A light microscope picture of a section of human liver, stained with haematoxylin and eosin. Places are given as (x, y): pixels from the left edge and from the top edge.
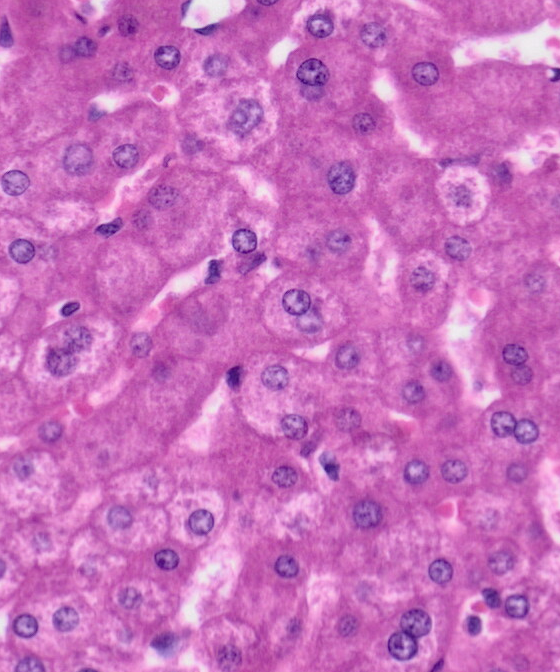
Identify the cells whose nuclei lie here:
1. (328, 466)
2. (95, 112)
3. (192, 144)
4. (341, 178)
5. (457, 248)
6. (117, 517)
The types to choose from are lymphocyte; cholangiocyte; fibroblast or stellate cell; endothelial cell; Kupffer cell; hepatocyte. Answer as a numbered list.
1. endothelial cell
2. endothelial cell
3. hepatocyte
4. hepatocyte
5. hepatocyte
6. hepatocyte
